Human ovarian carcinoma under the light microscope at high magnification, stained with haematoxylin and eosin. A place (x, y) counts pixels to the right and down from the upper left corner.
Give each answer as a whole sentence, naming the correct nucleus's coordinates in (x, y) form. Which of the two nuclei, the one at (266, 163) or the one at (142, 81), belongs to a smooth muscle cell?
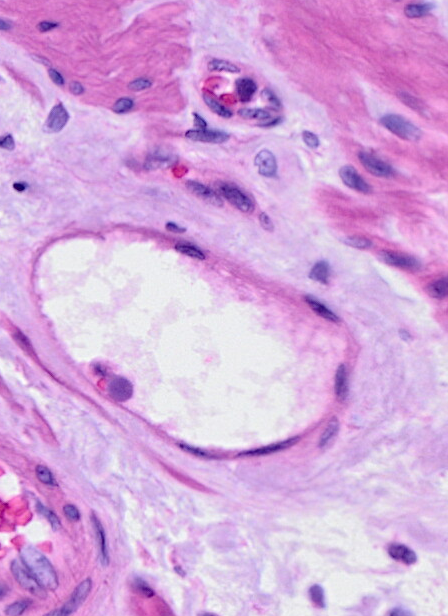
As for which of the two, the nucleus at (142, 81) belongs to a smooth muscle cell.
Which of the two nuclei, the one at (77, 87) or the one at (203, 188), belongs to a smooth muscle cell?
The cell to which the nucleus at (77, 87) belongs is a smooth muscle cell.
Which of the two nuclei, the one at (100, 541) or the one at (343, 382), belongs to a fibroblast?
Answering which nucleus it is: the one at (100, 541), belonging to a fibroblast.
